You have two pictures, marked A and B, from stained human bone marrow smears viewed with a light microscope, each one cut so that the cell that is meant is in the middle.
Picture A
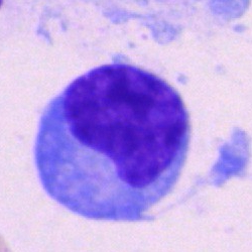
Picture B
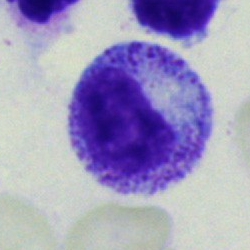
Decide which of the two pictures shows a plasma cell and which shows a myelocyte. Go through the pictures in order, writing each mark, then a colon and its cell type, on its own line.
A: plasma cell
B: myelocyte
